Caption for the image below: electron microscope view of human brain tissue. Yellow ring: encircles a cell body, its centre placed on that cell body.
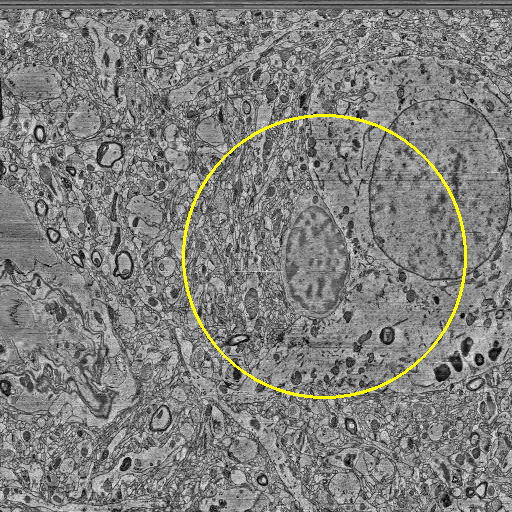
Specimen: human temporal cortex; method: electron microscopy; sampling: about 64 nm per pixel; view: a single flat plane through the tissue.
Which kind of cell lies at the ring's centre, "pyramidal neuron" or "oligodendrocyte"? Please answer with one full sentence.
The picture shows an oligodendrocyte at the centre of the yellow ring.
